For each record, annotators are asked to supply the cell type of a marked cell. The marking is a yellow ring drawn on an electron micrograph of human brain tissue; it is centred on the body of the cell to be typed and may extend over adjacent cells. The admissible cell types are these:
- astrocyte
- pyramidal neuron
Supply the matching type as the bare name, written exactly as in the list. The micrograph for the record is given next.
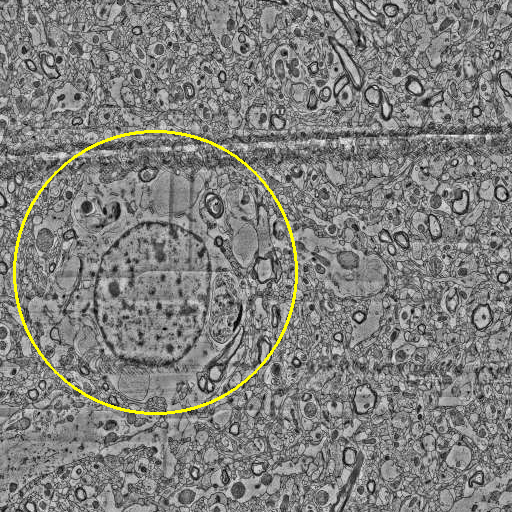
astrocyte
